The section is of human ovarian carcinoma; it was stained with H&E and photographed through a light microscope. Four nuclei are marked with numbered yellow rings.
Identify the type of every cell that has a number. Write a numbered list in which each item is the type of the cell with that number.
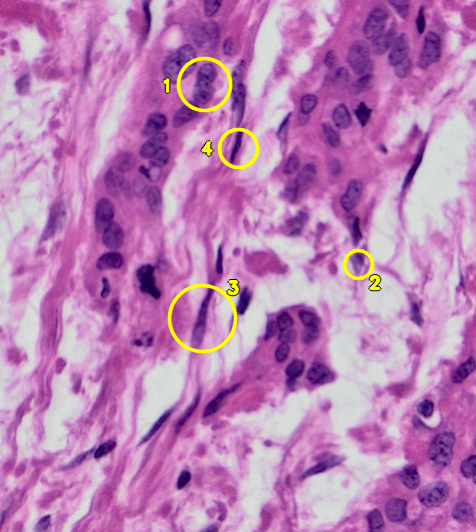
1. carcinoma cell
2. fibroblast
3. fibroblast
4. fibroblast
